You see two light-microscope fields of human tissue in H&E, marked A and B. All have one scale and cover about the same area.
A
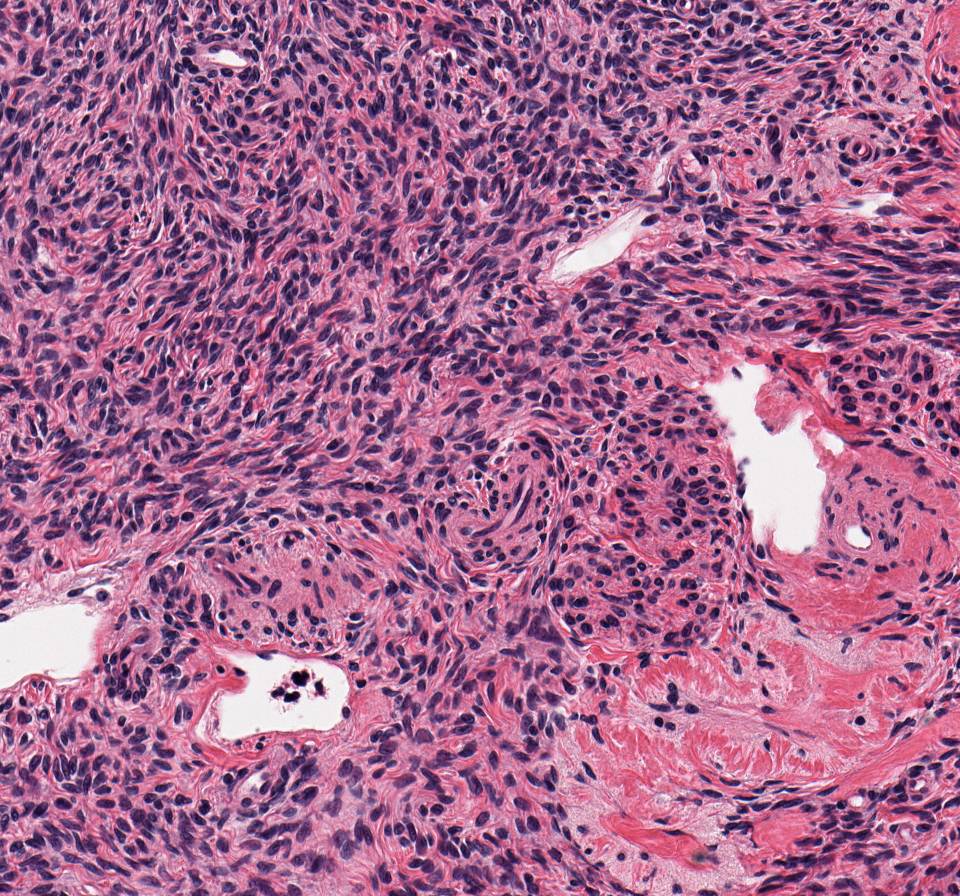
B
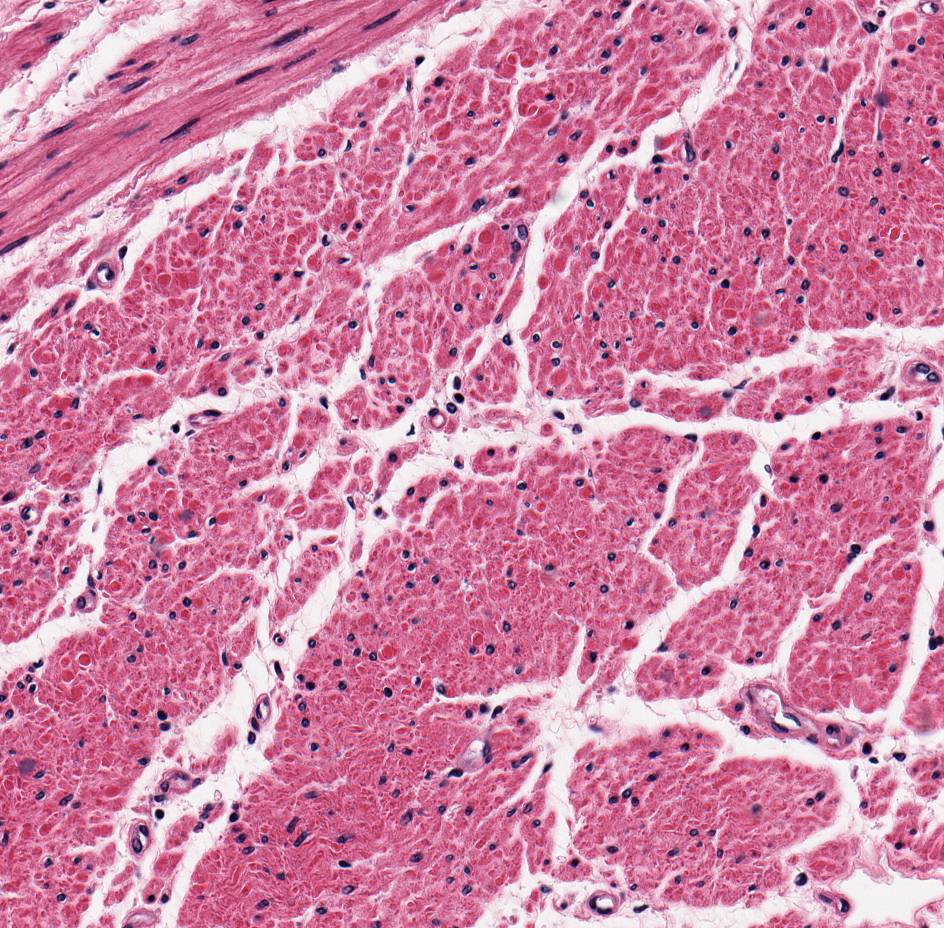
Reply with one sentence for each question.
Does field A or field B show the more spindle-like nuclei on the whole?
The nuclei are more elongated in field A.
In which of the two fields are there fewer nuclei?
There are fewer nuclei in field B.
